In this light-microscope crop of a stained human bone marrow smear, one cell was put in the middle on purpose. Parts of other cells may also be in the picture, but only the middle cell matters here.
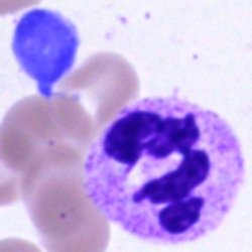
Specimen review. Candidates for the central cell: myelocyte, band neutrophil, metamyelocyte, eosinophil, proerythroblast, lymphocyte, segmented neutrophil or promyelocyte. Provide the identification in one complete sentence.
As for the cell in the middle, it is a segmented neutrophil.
